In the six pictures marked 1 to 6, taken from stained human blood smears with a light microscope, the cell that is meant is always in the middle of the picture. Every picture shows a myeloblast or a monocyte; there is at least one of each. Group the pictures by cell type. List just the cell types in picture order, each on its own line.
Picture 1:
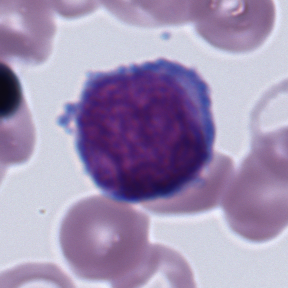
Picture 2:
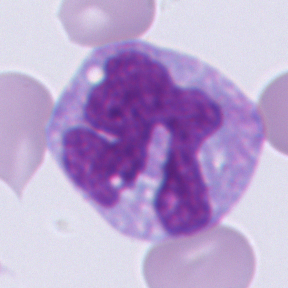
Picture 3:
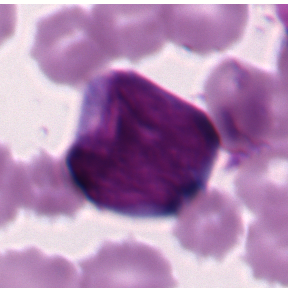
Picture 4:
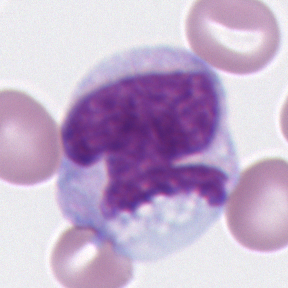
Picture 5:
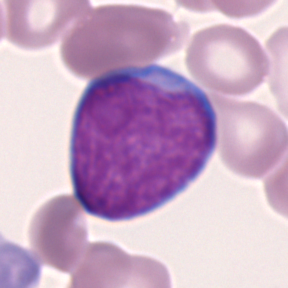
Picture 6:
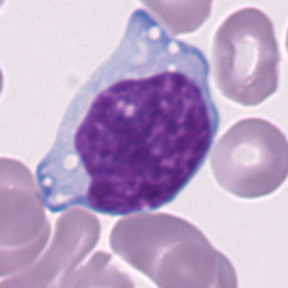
myeloblast
monocyte
myeloblast
monocyte
myeloblast
myeloblast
